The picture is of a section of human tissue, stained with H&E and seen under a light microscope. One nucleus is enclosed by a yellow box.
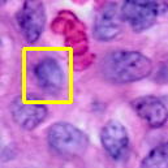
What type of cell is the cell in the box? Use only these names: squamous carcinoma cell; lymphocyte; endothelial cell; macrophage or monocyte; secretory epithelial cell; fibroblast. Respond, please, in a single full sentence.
The identity of the cell in the box is that of an endothelial cell.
